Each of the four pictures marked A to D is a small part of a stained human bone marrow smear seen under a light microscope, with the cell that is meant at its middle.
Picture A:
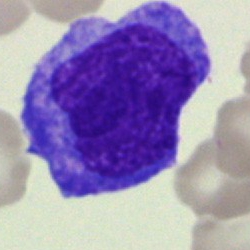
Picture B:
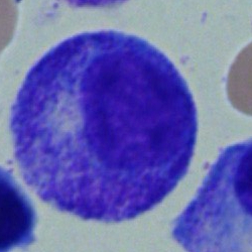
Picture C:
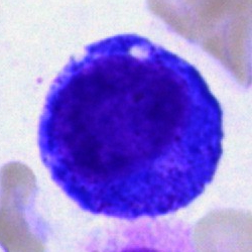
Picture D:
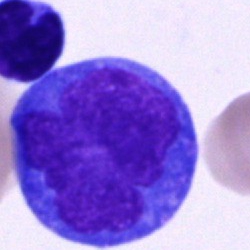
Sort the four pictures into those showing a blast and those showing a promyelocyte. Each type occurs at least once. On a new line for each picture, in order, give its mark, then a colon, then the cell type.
A: blast
B: promyelocyte
C: promyelocyte
D: blast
